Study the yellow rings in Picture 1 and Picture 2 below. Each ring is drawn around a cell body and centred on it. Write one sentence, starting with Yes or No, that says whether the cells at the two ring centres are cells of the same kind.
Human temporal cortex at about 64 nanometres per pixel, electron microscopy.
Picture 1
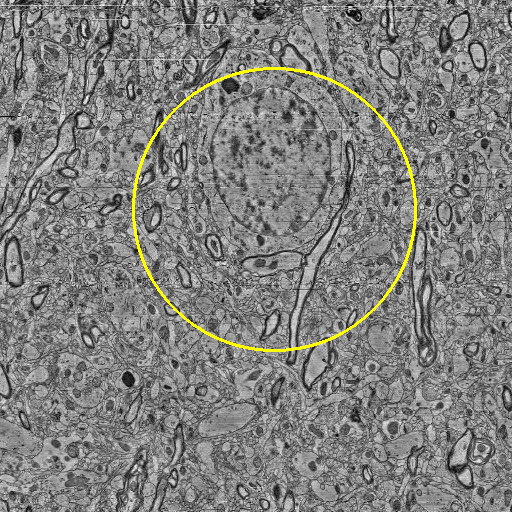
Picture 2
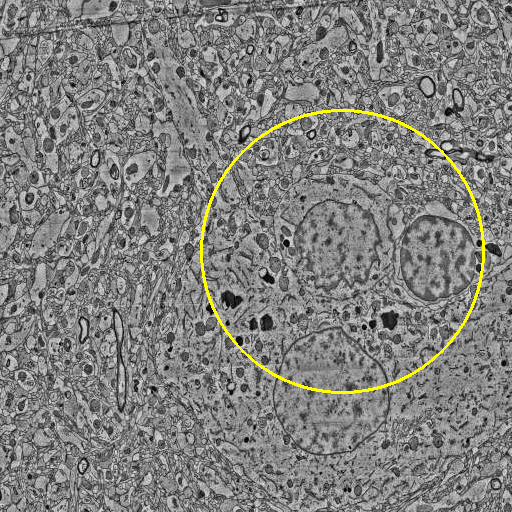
Yes, the cells at both ring centres are of the same kind.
